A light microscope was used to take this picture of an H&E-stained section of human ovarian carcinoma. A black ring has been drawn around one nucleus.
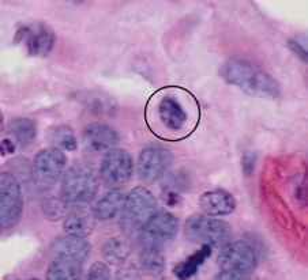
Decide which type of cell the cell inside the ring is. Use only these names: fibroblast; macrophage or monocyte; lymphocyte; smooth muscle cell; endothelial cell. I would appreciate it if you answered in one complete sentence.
At the level of cell identity, the cell inside the ring is a lymphocyte.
